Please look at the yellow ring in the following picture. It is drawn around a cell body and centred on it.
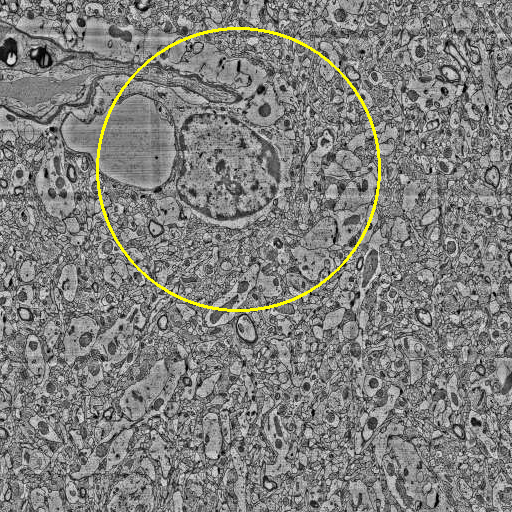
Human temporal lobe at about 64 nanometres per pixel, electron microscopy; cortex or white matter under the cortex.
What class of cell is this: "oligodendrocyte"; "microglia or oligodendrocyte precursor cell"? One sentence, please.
The ring surrounds the cell body of a microglial cell or oligodendrocyte precursor cell.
